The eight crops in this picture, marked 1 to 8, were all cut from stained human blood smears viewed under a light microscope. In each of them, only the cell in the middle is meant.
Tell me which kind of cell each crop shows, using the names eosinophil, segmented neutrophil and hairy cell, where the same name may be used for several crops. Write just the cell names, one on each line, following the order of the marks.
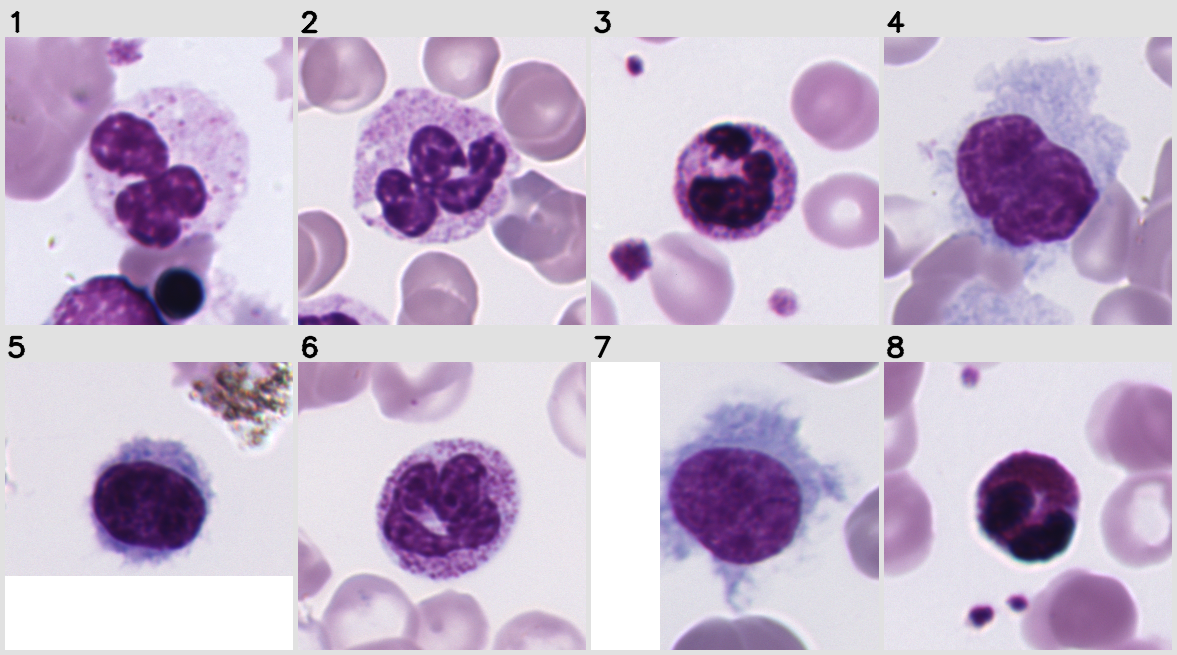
segmented neutrophil
segmented neutrophil
segmented neutrophil
hairy cell
hairy cell
segmented neutrophil
hairy cell
eosinophil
